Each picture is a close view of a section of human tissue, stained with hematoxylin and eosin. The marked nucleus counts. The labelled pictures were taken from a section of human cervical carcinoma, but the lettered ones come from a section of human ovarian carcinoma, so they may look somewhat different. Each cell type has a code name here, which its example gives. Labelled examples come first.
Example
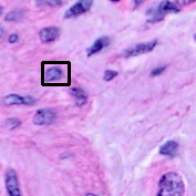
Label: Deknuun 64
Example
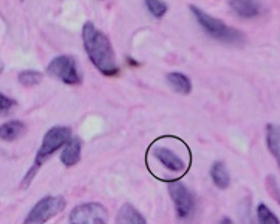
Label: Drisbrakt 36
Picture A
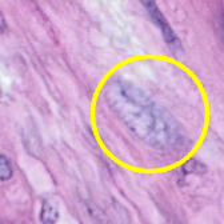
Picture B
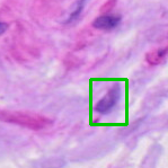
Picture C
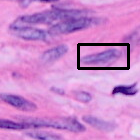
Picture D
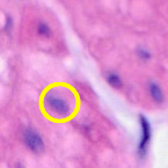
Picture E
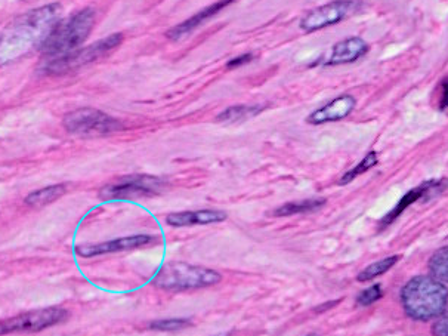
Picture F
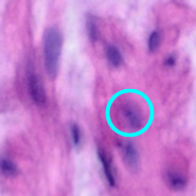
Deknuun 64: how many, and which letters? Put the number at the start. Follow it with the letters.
Count: 3 (C, D, F)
